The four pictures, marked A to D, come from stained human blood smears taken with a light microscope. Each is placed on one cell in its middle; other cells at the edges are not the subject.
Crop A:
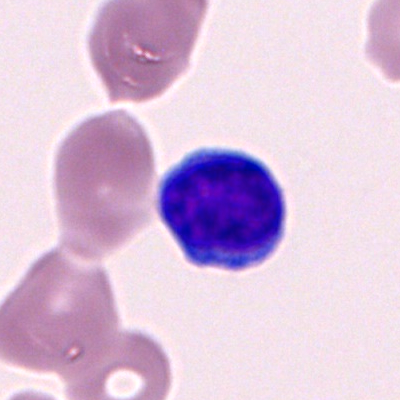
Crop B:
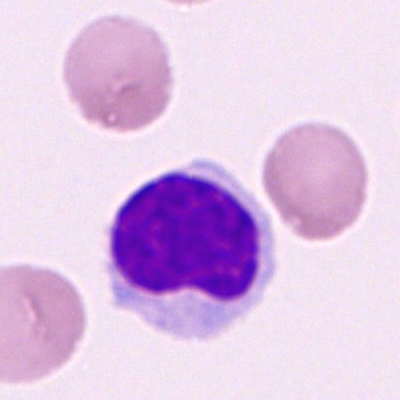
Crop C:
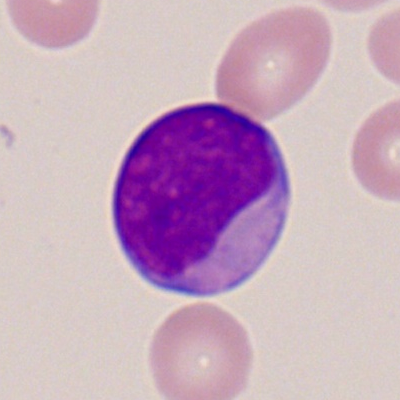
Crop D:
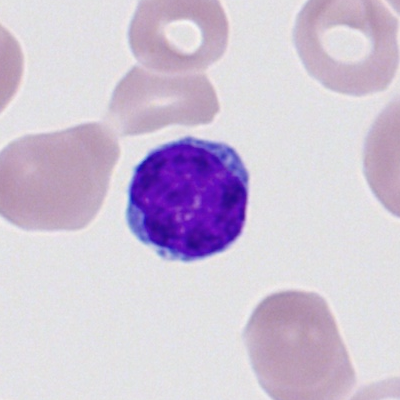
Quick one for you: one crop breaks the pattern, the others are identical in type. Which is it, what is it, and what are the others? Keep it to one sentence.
Crop C is the one to flag: it is a myeloblast, and the rest show lymphocytes.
